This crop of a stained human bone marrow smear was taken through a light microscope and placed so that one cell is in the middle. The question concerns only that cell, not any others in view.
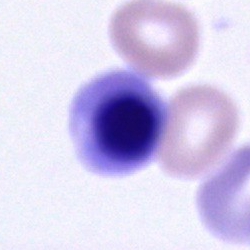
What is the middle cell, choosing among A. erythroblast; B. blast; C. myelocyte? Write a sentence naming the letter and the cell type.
The cell in the middle is correctly identified as an erythroblast in option A.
